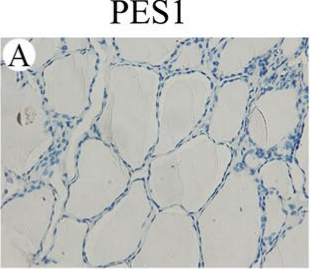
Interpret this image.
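Normal thyroid tissue made of large follicles filled with pale colloid, each lined by a single layer of flattened follicular cells with small oval blue nuclei. The follicle linings and the thin tissue between follicles show blue nuclei only, with essentially no brown colour.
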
